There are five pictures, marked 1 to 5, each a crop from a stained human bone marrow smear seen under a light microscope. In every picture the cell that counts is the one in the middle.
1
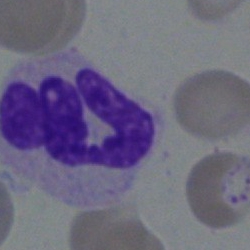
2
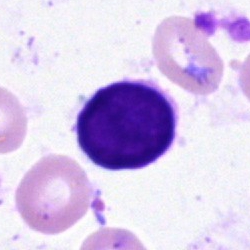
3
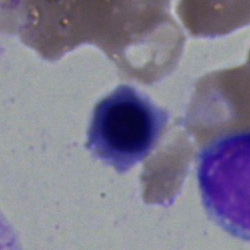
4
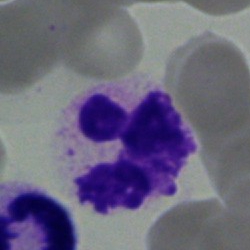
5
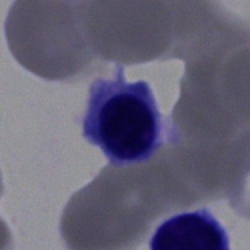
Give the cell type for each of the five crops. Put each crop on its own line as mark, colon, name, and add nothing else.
1: neutrophil
2: lymphocyte
3: normoblast
4: basophil
5: normoblast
